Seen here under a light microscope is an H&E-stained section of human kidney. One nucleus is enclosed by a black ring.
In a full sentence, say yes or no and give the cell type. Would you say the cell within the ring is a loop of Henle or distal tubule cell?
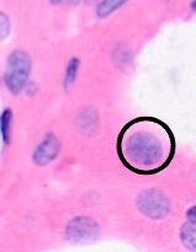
Yes, the cell within the ring is a loop of Henle or distal tubule cell by cell type.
